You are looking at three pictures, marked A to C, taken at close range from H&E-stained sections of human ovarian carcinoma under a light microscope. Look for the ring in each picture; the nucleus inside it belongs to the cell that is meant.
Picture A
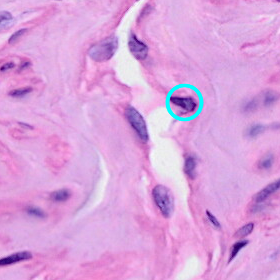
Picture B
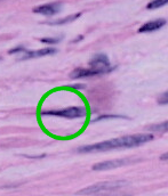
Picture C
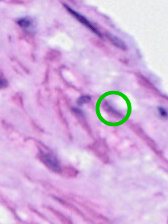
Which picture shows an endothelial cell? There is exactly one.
A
